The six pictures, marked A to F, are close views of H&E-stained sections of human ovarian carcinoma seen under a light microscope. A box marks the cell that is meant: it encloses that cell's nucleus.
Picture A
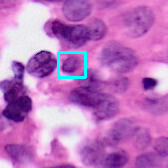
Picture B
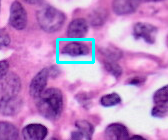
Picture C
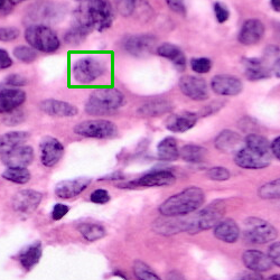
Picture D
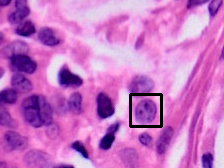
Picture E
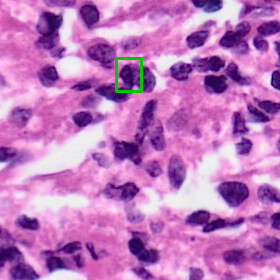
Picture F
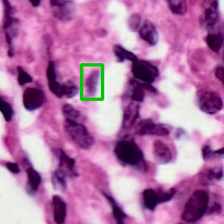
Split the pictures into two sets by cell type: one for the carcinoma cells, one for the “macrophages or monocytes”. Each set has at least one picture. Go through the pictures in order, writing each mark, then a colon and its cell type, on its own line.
A: carcinoma cell
B: carcinoma cell
C: macrophage or monocyte
D: macrophage or monocyte
E: carcinoma cell
F: macrophage or monocyte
